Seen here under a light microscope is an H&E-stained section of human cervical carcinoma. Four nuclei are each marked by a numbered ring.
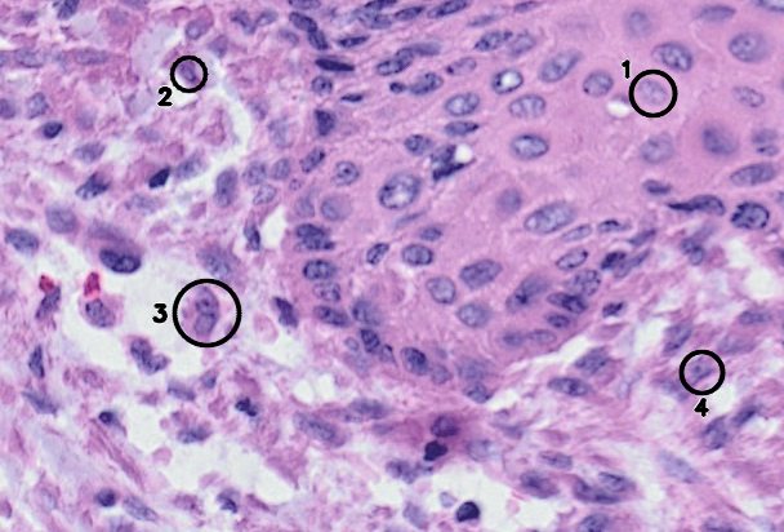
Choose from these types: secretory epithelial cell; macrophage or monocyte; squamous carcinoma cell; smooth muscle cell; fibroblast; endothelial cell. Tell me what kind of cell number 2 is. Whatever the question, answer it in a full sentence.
The expected answer is that cell 2 is a fibroblast.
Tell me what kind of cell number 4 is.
What the number 4 marks in this field is a fibroblast.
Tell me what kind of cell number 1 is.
The cell given label 1 is a squamous carcinoma cell.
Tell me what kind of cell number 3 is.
Identified by the number 3, the cell is a macrophage or monocyte.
